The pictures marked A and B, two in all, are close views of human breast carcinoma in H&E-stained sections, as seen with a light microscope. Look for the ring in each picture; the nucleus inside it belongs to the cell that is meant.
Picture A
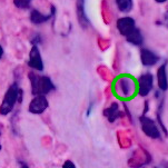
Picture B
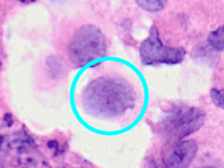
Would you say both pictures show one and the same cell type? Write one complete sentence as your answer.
No, picture A shows an endothelial cell and picture B shows a carcinoma cell.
